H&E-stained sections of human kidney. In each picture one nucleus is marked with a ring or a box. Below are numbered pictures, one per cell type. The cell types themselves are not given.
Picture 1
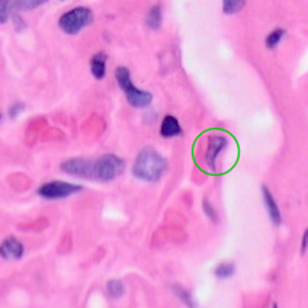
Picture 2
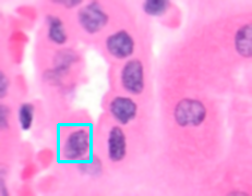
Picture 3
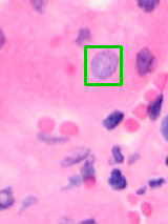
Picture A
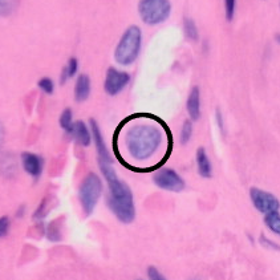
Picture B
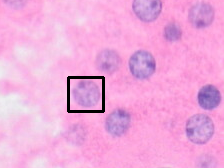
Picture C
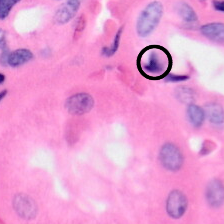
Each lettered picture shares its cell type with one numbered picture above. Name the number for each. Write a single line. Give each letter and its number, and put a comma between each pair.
A 2, B 3, C 2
